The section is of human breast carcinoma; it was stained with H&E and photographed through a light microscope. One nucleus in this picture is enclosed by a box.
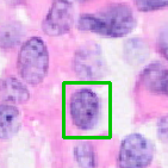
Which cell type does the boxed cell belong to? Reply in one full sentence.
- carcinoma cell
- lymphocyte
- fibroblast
Within this tissue, the boxed cell is a carcinoma cell.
